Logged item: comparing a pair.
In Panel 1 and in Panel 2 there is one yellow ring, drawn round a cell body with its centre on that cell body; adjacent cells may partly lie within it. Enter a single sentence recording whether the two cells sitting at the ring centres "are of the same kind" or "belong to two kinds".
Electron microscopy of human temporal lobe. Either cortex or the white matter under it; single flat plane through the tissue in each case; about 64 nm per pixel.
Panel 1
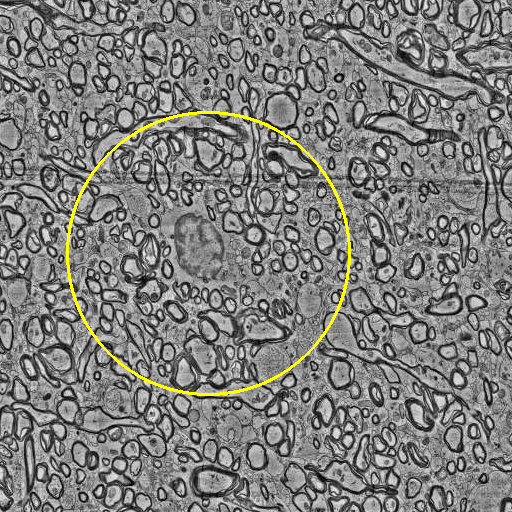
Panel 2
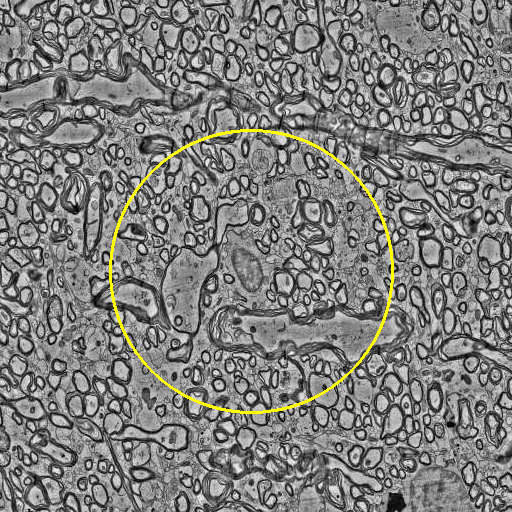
Logged: the cells centred in the rings of Panel 1 and Panel 2 are of the same kind.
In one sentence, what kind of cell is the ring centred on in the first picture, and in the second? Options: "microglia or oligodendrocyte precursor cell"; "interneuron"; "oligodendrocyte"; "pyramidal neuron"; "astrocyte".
Both pictures show an oligodendrocyte at the centre of the ring.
